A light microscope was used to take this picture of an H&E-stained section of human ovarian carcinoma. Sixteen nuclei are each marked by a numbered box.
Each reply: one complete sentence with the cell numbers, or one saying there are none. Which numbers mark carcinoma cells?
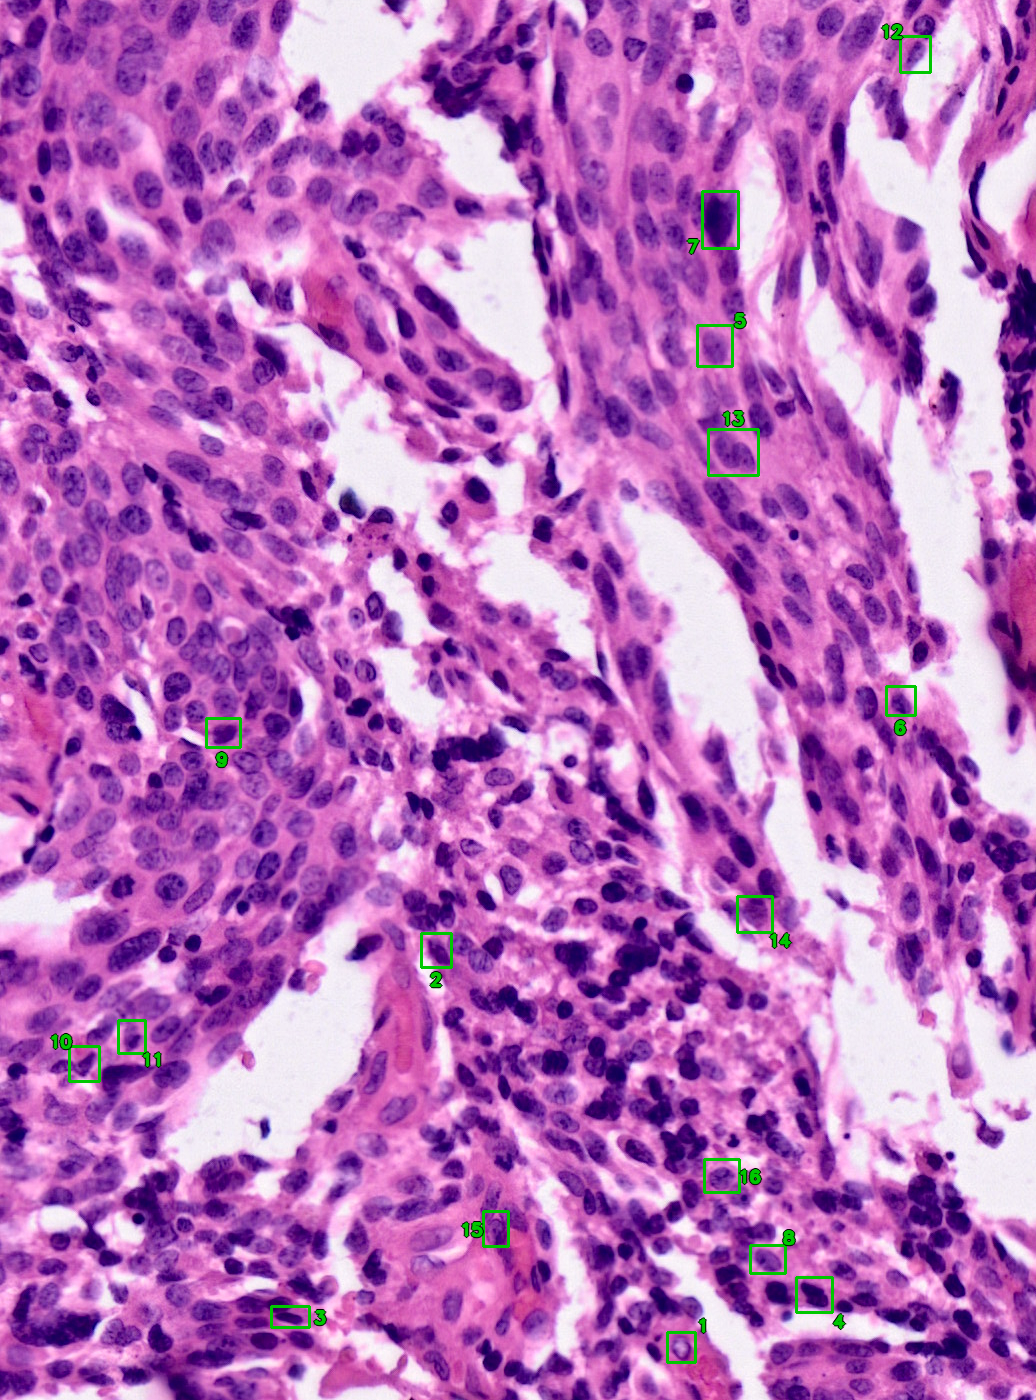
The cells marked with the numbers 2, 3, 4, 5, 7, 9, 10, 13 and 14 are carcinoma cells.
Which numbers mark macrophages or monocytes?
The cells that the numbers 6, 8, 11, 12 and 16 belong to are macrophages or monocytes.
